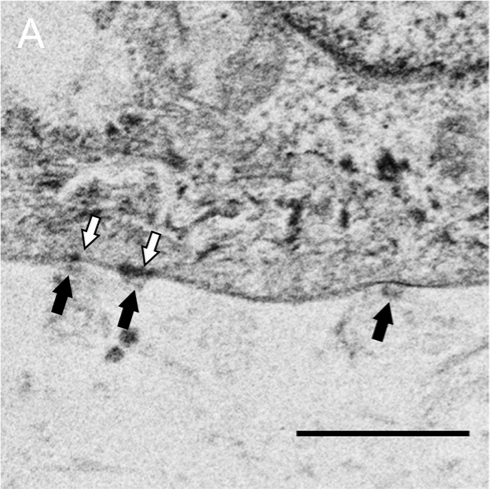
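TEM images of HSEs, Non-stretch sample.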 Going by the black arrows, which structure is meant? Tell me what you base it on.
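Short dark thin segments run just beneath and parallel to the basal cell membrane. The segments are patchy, with gaps along the border. So: lamina densa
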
